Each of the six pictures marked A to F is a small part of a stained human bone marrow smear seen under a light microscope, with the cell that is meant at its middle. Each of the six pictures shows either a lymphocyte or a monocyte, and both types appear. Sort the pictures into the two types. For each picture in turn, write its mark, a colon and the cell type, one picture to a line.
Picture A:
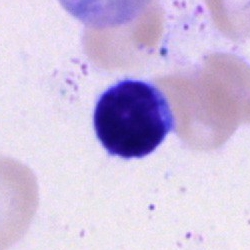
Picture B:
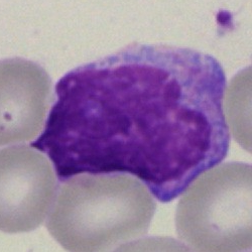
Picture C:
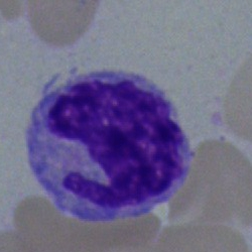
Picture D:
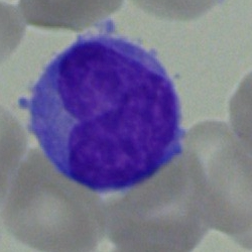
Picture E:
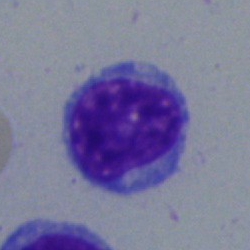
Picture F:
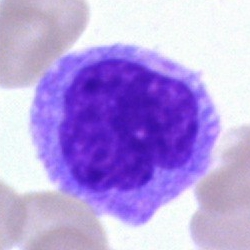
A: lymphocyte
B: monocyte
C: monocyte
D: monocyte
E: lymphocyte
F: monocyte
